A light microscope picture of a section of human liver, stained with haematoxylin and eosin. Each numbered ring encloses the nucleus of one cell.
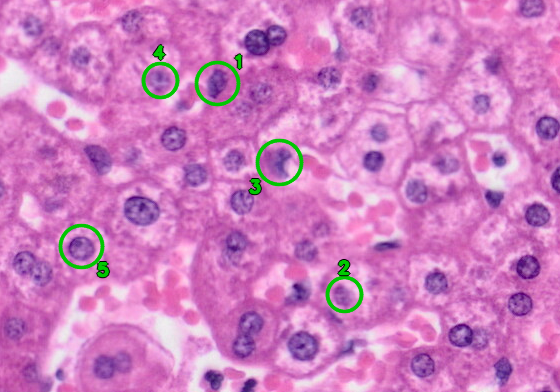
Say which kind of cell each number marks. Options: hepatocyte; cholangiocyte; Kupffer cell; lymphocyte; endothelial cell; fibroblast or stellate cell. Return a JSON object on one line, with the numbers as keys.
{"1": "fibroblast or stellate cell", "2": "hepatocyte", "3": "endothelial cell", "4": "hepatocyte", "5": "hepatocyte"}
